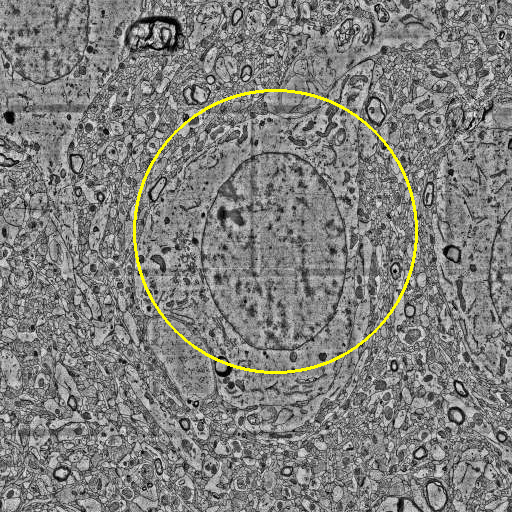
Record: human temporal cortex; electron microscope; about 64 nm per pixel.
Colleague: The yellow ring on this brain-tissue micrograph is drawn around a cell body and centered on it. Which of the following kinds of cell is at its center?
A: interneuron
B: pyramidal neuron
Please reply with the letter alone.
B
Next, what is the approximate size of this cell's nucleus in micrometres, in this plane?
The nucleus has a long axis of about 13 micrometres and a short axis of about 10 micrometres in this plane.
